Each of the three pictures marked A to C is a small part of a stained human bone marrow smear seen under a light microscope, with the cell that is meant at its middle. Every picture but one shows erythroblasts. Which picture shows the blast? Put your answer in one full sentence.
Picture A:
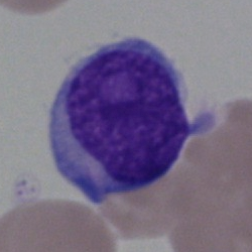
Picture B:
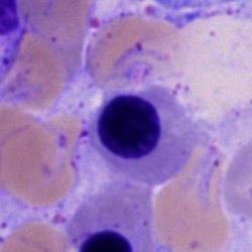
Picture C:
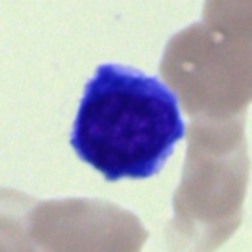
The picture with the blast is A.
